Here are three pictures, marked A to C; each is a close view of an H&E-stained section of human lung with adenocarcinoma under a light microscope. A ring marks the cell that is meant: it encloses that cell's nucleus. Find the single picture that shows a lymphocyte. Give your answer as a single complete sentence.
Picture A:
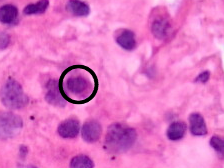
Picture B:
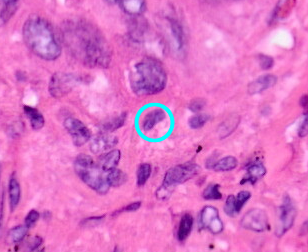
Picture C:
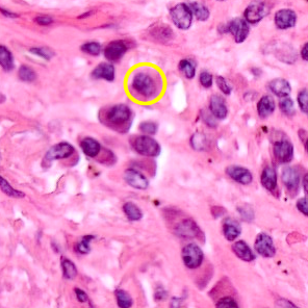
The picture with the lymphocyte is B.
